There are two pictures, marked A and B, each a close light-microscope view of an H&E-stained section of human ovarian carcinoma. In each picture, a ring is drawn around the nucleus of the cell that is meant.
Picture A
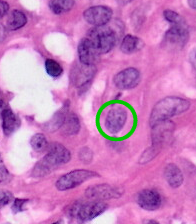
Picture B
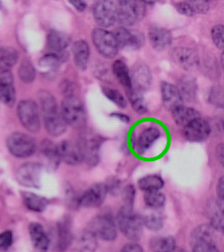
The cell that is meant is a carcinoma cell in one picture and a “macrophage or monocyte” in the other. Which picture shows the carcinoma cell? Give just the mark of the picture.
B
